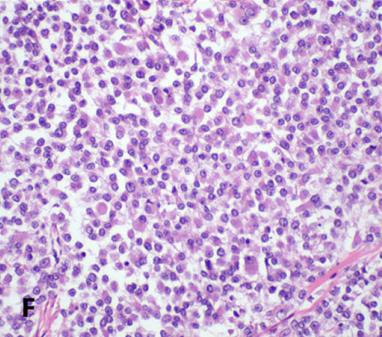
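Loosely cohesive round tumor cells of rhabdoid plasmacytoid appearance spread diffusely across the field. Many have a rim of pink cytoplasm with the nucleus pushed to one side, and thin pink fibrous strands cross the lower corner.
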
